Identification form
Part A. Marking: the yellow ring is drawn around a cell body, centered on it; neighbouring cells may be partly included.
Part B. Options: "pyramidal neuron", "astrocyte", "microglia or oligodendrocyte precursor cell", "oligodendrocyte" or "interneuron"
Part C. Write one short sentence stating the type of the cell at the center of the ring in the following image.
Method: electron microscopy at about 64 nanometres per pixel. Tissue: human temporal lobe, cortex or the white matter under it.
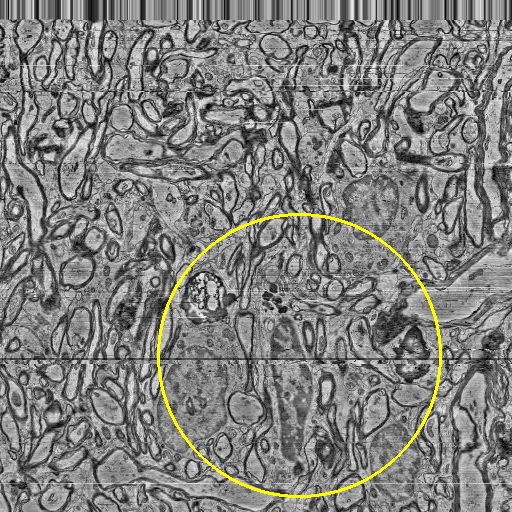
The center of the ring holds a microglial cell or oligodendrocyte precursor cell.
